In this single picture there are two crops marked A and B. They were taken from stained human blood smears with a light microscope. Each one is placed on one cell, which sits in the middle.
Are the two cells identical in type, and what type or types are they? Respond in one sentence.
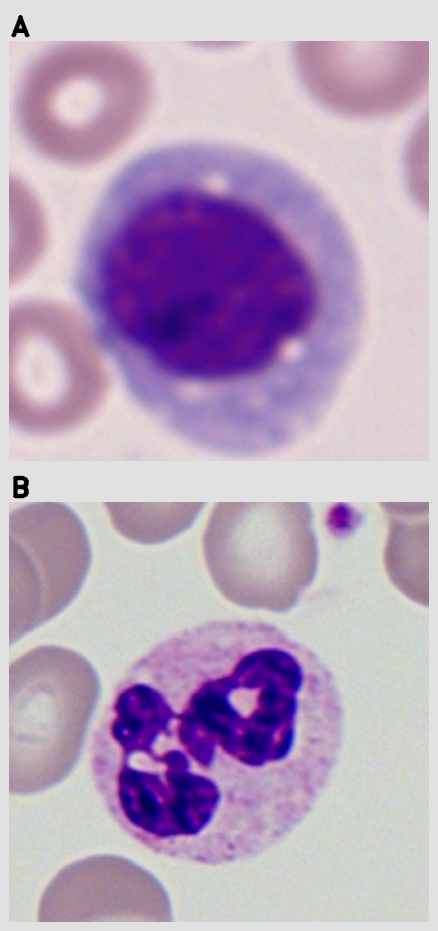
No, crop A depicts a monocyte; crop B depicts a segmented neutrophil.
